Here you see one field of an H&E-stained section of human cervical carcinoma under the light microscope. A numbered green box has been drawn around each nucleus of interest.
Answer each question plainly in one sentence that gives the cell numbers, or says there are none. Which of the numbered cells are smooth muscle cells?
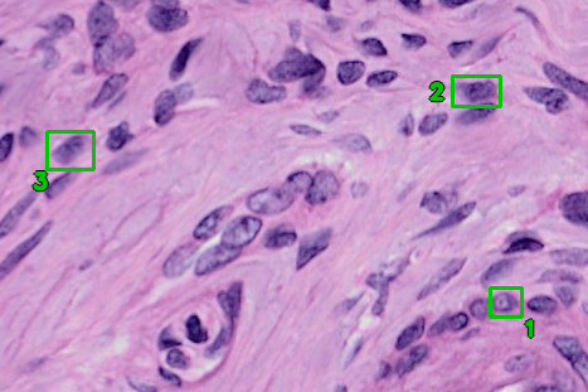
Cell 1 is a smooth muscle cell; every other numbered cell is something else.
